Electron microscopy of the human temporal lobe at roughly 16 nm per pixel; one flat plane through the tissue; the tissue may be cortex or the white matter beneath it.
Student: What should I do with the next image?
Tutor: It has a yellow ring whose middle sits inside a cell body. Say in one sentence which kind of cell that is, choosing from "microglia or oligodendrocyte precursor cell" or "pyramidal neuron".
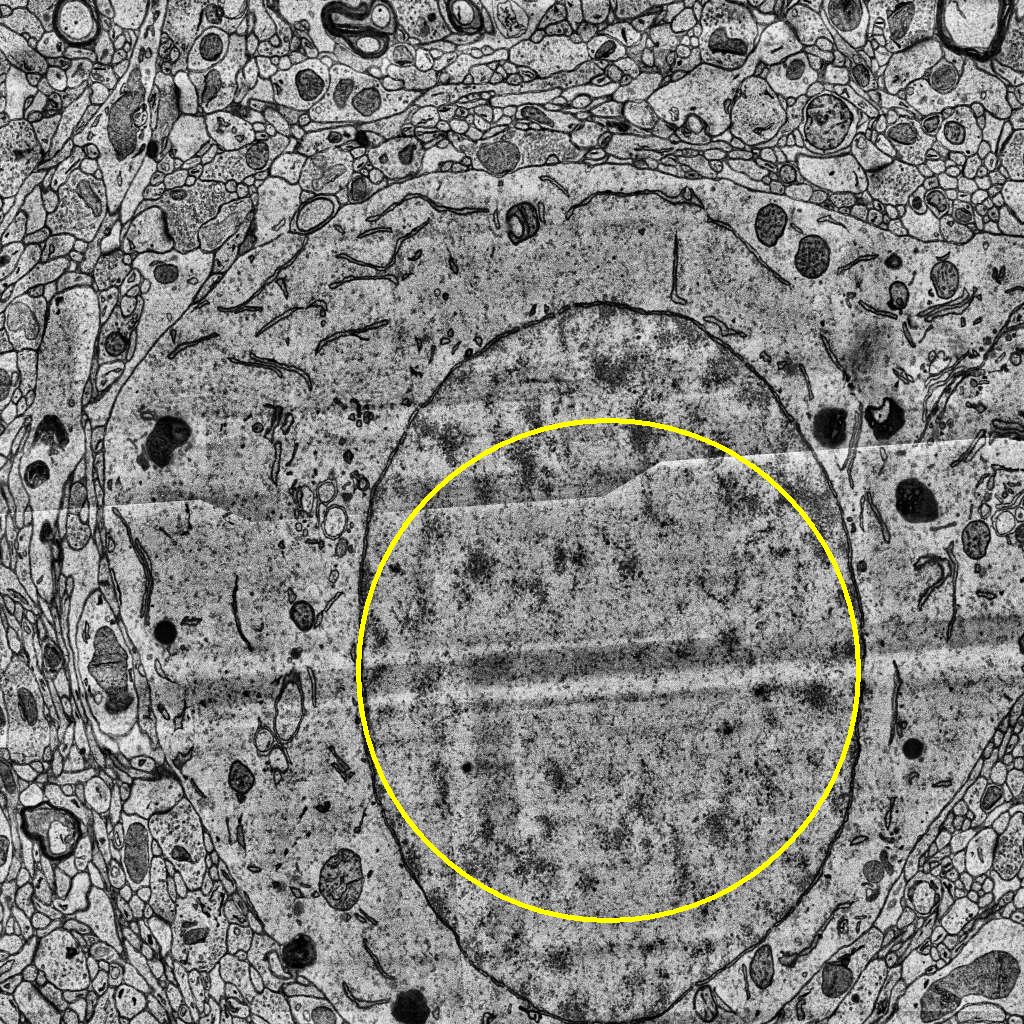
The ring's centre is occupied by a pyramidal neuron.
